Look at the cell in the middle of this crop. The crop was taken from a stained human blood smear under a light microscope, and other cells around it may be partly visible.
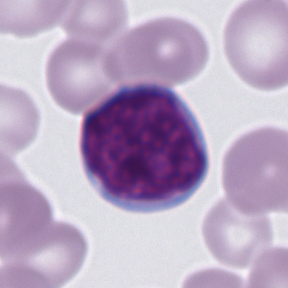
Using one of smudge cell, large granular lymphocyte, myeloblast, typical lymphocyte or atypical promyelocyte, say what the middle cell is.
typical lymphocyte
